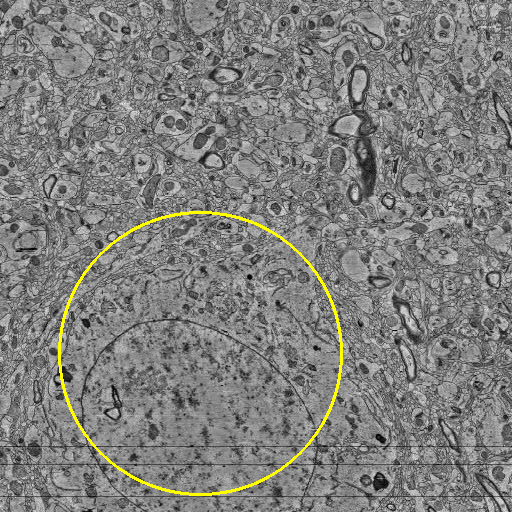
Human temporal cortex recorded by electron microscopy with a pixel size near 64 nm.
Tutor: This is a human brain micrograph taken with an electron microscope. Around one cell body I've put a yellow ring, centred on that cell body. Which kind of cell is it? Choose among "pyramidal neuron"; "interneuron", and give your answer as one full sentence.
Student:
Going by your list, the cell centred in the yellow ring is a pyramidal neuron.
